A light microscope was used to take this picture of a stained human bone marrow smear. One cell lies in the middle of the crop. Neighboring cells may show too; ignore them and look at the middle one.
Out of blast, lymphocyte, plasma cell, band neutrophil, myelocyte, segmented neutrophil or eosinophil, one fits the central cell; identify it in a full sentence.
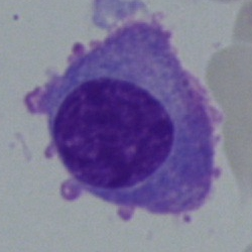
The cell in the middle of this crop is a plasma cell.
